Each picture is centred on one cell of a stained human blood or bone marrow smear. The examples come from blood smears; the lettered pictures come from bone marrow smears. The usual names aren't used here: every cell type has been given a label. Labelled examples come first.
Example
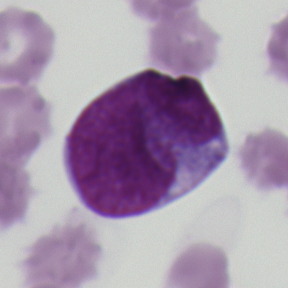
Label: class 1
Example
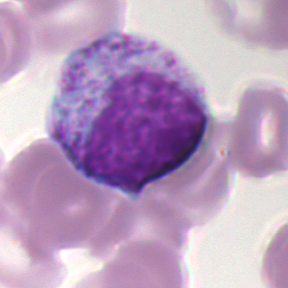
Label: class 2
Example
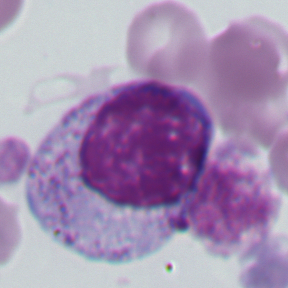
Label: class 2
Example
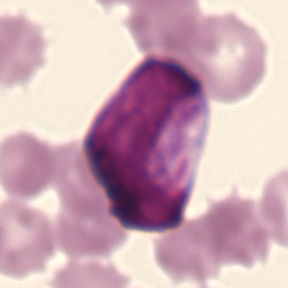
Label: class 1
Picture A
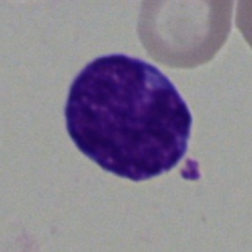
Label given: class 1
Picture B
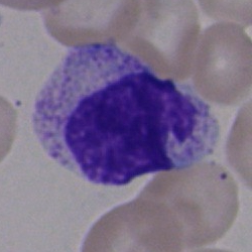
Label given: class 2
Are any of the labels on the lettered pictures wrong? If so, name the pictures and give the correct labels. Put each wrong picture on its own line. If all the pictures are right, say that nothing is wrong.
Every label is right.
